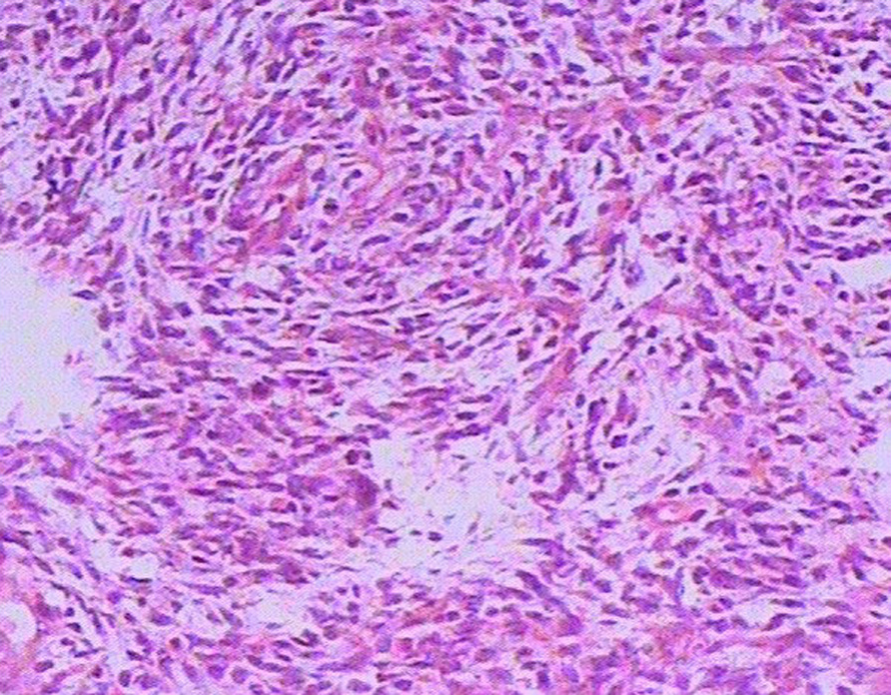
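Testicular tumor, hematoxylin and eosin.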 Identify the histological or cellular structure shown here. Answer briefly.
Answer: Whirlpool pattern.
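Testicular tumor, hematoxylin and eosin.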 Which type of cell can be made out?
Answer: Spindle, round or ovoid cells.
